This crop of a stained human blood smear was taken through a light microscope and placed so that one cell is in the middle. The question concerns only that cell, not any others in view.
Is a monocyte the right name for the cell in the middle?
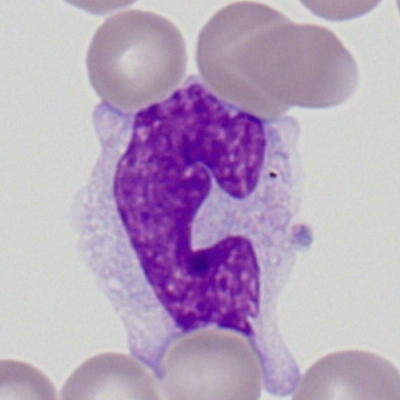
yes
